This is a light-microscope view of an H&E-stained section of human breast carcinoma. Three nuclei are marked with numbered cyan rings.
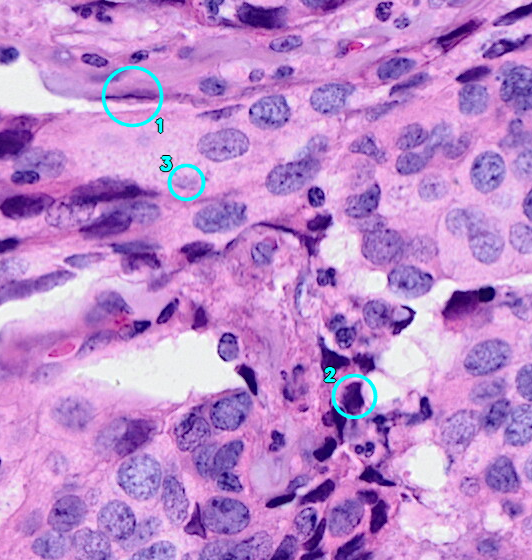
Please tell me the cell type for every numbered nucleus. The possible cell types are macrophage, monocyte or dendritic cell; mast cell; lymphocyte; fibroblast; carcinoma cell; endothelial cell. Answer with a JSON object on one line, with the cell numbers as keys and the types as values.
{"1": "fibroblast", "2": "carcinoma cell", "3": "carcinoma cell"}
